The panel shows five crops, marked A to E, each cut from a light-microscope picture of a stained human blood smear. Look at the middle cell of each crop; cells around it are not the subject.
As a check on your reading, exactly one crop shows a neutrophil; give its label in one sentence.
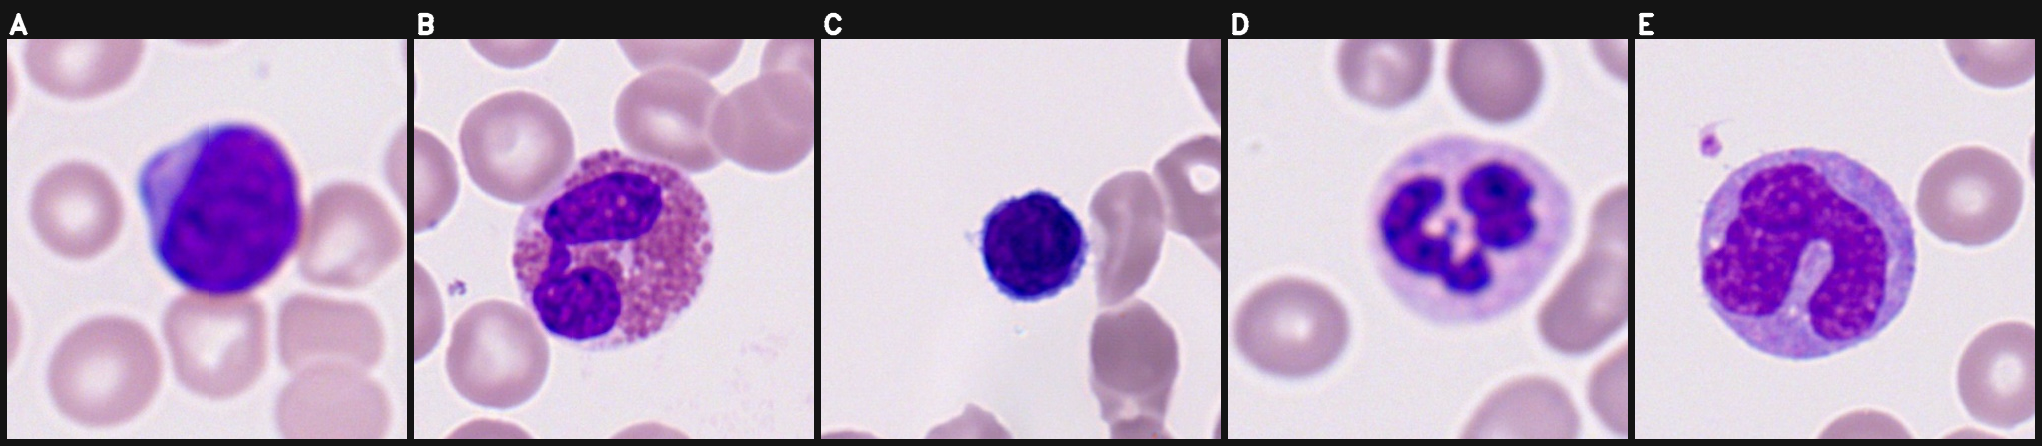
As for which crop shows a neutrophil, it is crop D.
